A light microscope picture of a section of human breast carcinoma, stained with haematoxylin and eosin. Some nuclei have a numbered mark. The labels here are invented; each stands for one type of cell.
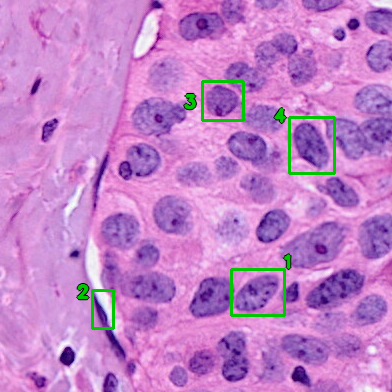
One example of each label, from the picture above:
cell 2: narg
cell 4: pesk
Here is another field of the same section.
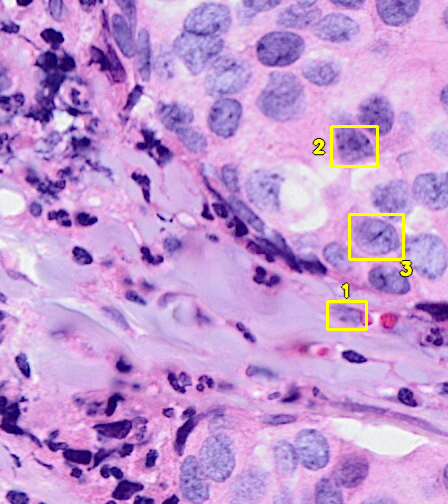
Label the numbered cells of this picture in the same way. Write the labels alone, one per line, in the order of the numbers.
narg
pesk
pesk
